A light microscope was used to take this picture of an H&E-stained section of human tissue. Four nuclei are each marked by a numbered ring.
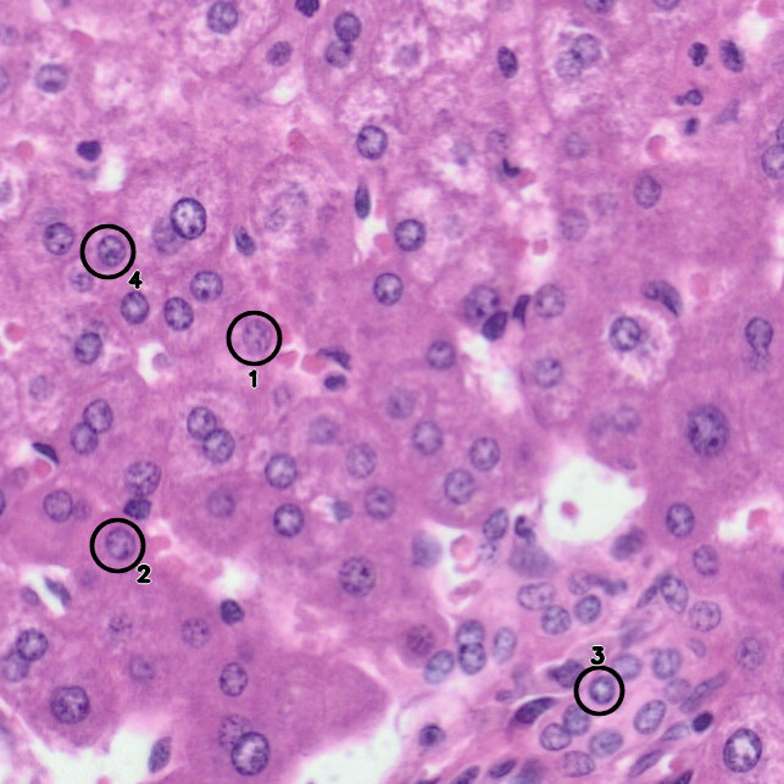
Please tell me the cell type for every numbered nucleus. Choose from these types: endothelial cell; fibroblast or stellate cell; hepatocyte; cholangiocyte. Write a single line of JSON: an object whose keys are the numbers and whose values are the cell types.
{"1": "hepatocyte", "2": "hepatocyte", "3": "cholangiocyte", "4": "hepatocyte"}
